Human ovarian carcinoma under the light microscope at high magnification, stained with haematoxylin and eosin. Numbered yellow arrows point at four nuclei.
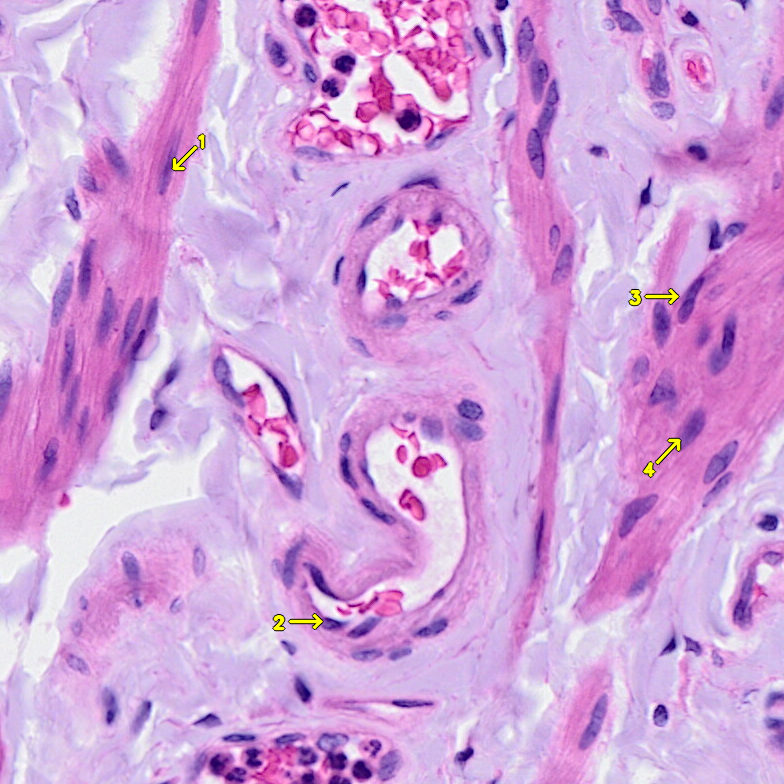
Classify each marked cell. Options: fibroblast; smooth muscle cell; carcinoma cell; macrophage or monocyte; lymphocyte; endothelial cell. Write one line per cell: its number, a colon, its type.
1: smooth muscle cell
2: endothelial cell
3: smooth muscle cell
4: smooth muscle cell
